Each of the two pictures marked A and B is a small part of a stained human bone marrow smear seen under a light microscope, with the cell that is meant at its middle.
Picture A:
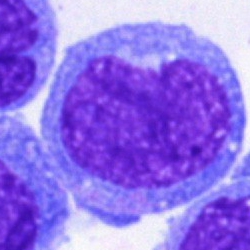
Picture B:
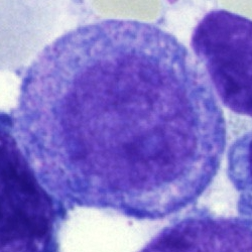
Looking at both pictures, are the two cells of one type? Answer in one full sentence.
No, they differ: the cell is a blast in picture A and a promyelocyte in picture B.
